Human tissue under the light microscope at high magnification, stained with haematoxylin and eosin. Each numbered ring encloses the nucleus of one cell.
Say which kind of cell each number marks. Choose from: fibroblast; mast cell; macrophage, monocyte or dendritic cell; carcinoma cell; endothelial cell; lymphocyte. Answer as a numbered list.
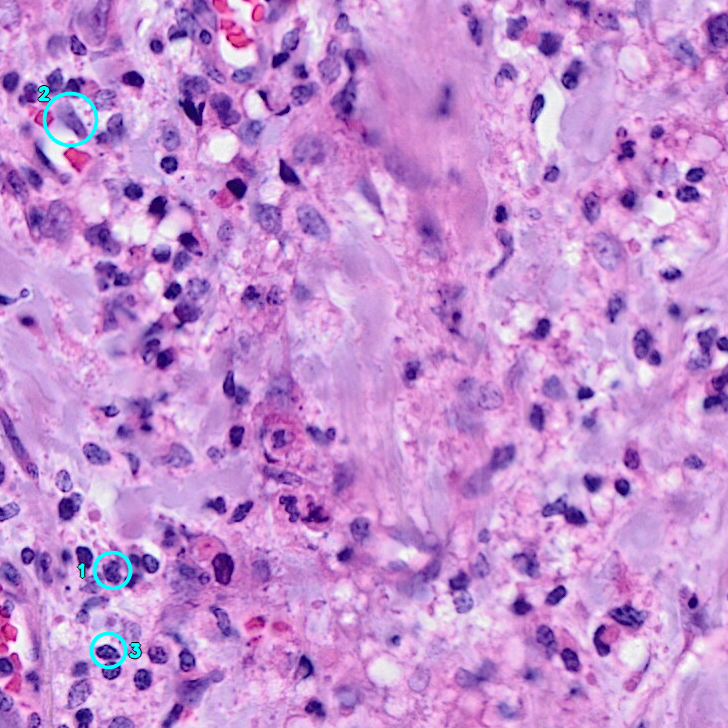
1. lymphocyte
2. endothelial cell
3. lymphocyte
